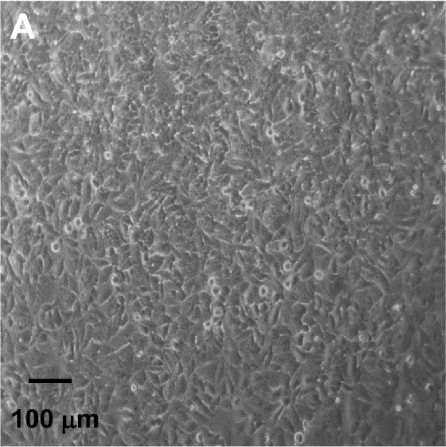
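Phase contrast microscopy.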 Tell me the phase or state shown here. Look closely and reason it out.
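Cells cover the whole field with no open gaps. Neighbouring cells touch one another.
Confluent.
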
